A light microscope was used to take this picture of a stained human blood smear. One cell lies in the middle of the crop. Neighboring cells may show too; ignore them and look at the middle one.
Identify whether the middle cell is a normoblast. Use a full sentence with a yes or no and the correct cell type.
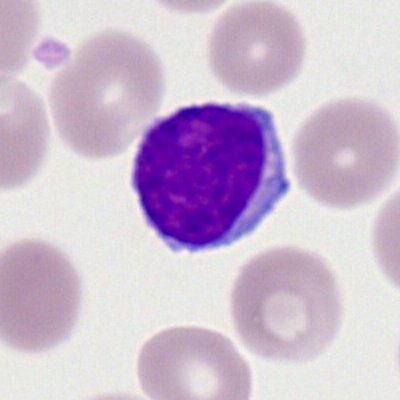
No, at the centre of this crop is found a lymphocyte instead of a normoblast.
